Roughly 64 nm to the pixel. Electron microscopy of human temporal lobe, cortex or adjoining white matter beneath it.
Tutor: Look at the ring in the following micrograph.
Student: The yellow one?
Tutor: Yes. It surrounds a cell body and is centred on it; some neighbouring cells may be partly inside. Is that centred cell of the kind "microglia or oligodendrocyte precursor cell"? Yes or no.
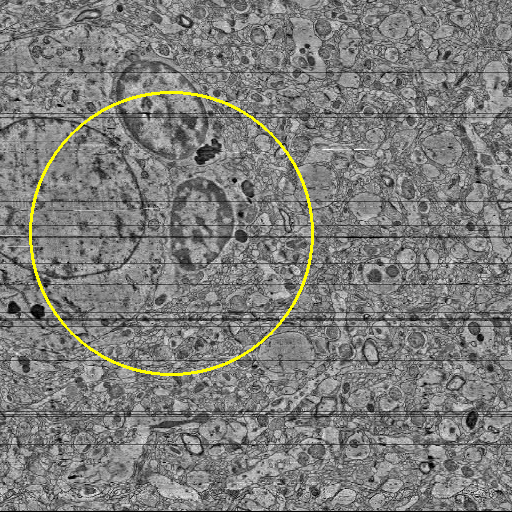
yes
